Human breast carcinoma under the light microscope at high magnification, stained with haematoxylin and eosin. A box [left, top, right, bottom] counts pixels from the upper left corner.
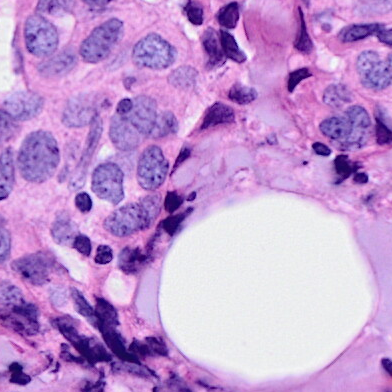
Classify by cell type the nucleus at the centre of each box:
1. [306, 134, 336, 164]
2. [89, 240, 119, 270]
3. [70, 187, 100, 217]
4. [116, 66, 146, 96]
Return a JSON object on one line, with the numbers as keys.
{"1": "lymphocyte", "2": "lymphocyte", "3": "lymphocyte", "4": "carcinoma cell"}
